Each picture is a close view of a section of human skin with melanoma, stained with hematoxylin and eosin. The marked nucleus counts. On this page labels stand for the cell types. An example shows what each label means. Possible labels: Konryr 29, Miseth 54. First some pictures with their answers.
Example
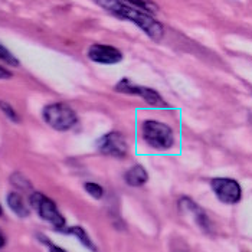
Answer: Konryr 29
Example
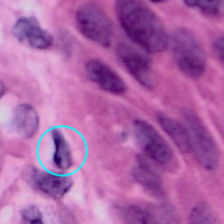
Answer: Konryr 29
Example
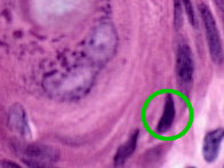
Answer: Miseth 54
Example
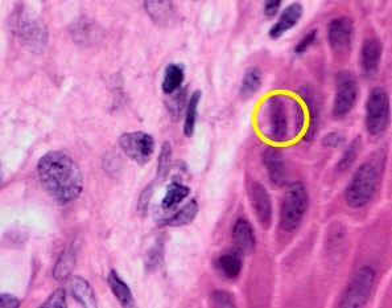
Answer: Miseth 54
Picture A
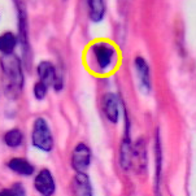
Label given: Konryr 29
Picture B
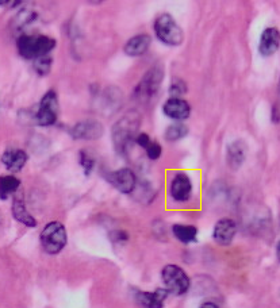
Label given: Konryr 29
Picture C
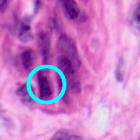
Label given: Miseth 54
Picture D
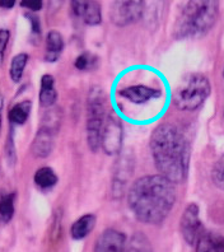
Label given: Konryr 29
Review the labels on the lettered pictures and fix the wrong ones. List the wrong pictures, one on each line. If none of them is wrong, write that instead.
All correct.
